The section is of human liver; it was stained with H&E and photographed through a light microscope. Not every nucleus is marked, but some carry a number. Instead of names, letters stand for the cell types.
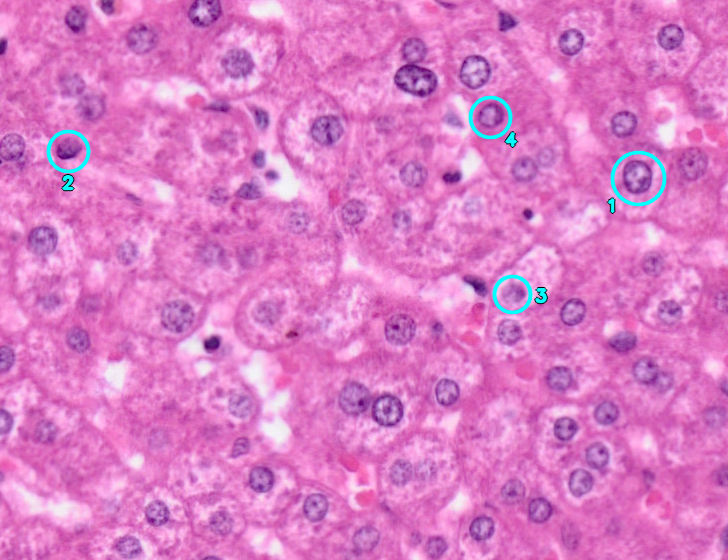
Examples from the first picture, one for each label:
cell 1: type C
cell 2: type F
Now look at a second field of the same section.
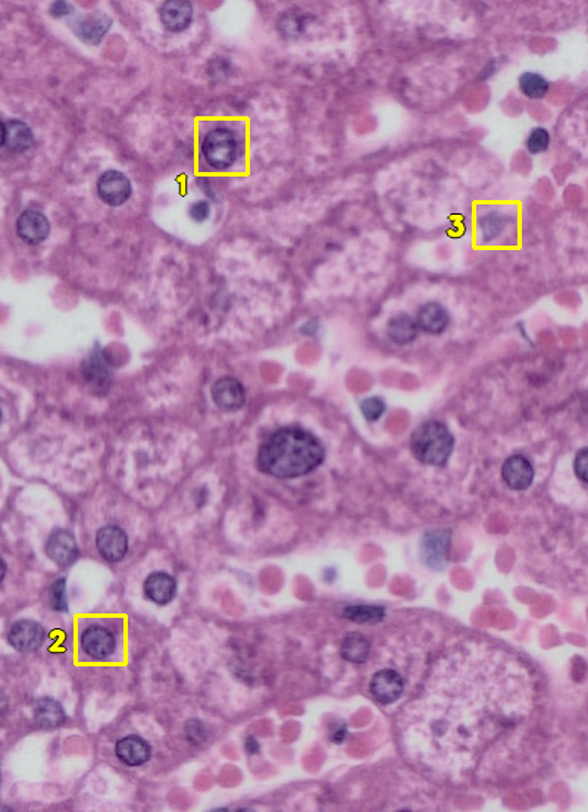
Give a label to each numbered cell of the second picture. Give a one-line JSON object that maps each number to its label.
{"1": "type C", "2": "type C", "3": "type F"}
